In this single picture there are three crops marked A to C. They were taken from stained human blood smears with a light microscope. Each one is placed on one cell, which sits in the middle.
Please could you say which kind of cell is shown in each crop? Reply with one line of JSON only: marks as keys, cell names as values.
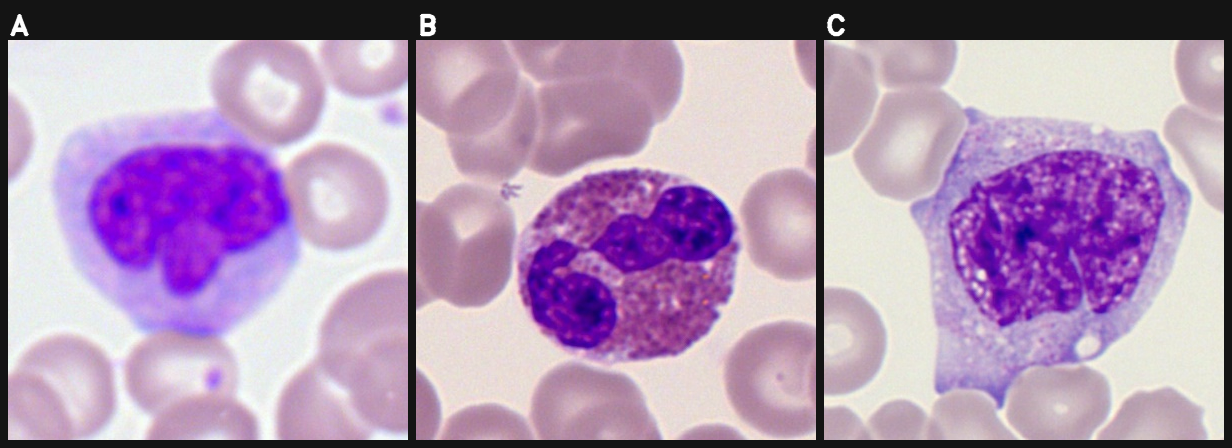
{"A": "monocyte", "B": "eosinophil", "C": "monocyte"}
